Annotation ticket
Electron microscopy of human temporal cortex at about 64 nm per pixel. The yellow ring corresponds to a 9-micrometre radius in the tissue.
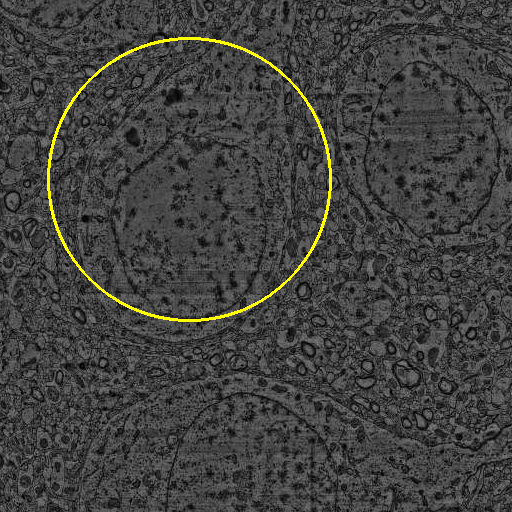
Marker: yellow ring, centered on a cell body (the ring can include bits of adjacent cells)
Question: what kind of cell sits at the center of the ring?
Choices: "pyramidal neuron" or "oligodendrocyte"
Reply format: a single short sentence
The ring is centered on a pyramidal neuron.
